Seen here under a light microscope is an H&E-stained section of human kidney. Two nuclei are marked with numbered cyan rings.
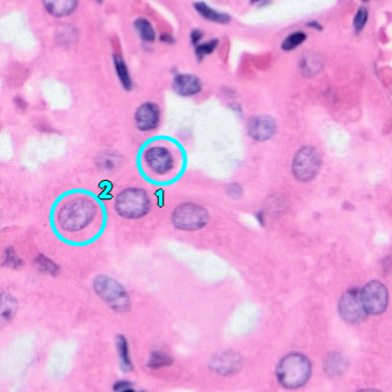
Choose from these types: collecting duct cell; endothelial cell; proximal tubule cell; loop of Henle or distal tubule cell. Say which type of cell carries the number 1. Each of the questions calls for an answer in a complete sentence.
Regarding cell 1, this one is a loop of Henle or distal tubule cell.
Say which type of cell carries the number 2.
That cell with number 2 is a proximal tubule cell.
